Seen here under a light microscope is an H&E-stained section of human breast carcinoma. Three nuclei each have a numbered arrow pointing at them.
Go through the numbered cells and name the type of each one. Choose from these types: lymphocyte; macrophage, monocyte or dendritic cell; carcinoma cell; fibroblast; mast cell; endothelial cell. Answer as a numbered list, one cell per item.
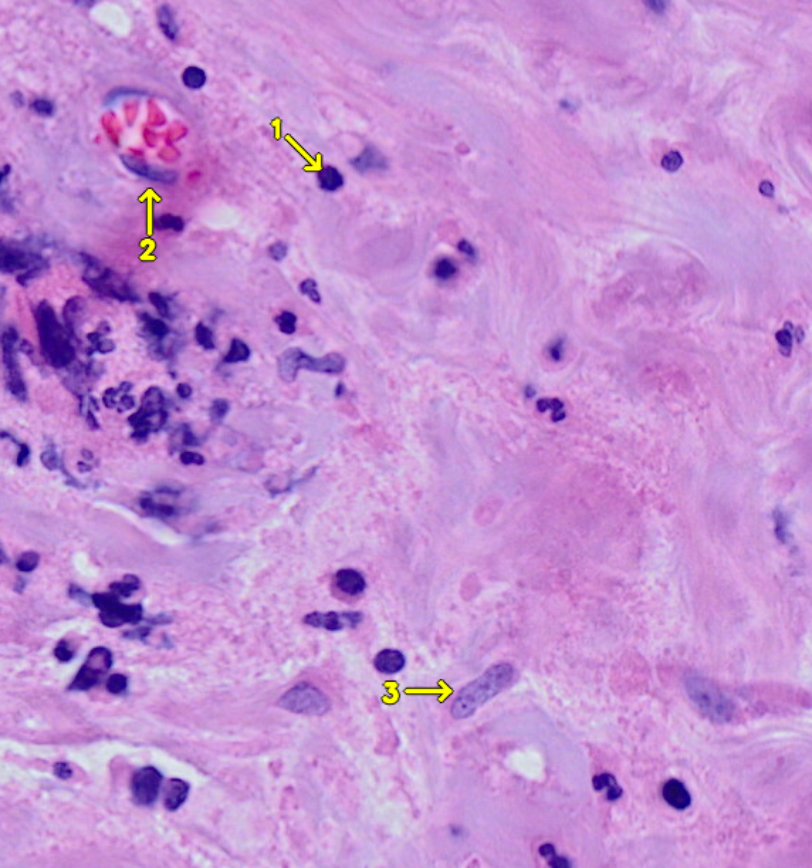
1. lymphocyte
2. endothelial cell
3. fibroblast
